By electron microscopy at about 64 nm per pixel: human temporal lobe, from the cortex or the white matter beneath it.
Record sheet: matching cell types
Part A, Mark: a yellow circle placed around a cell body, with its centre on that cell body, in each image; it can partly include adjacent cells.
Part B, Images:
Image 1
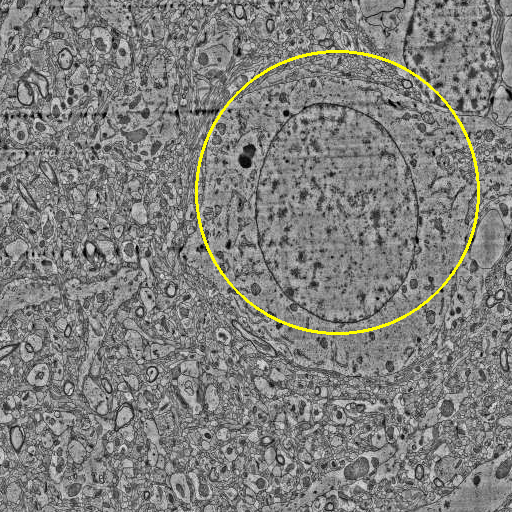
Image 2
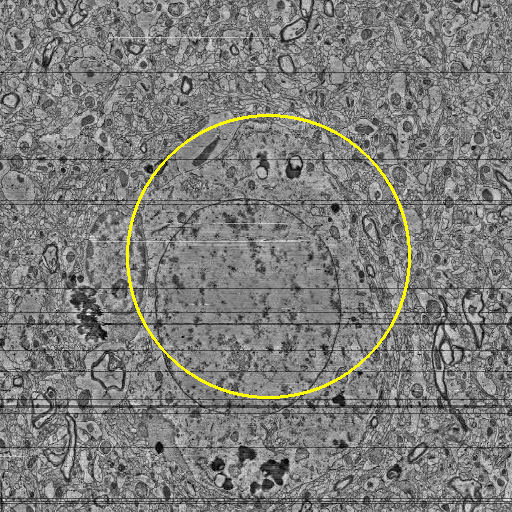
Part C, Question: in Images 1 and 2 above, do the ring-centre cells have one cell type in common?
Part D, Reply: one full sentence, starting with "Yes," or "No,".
Yes, the ring-centre cells of Image 1 and Image 2 are both of a single cell type.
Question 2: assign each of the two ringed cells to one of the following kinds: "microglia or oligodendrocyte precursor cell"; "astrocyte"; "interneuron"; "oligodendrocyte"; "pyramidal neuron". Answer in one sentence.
In each of the two pictures, the ringed cell is a pyramidal neuron.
